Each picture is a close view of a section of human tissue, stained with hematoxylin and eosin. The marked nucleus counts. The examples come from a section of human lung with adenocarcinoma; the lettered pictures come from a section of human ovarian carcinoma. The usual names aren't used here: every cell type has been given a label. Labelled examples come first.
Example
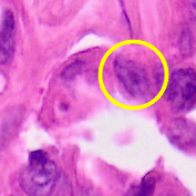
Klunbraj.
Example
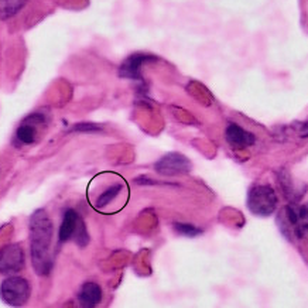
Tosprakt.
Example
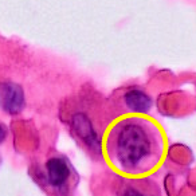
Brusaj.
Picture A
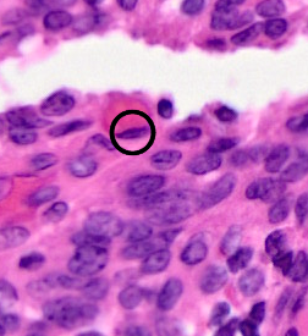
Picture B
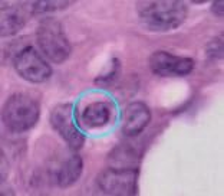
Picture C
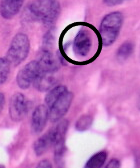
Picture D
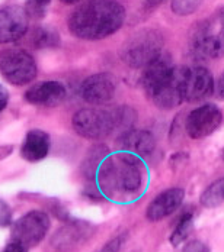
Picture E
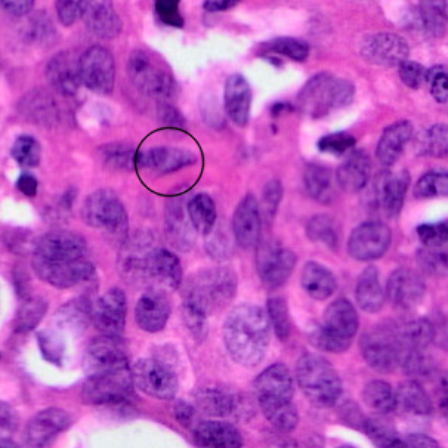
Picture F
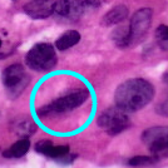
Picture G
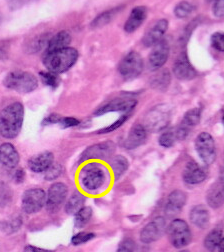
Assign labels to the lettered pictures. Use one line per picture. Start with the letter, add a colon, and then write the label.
A: Tosprakt.
B: Brusaj.
C: Klunbraj.
D: Klunbraj.
E: Tosprakt.
F: Tosprakt.
G: Brusaj.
